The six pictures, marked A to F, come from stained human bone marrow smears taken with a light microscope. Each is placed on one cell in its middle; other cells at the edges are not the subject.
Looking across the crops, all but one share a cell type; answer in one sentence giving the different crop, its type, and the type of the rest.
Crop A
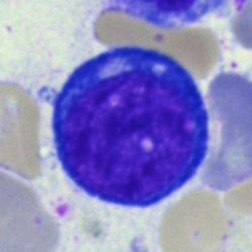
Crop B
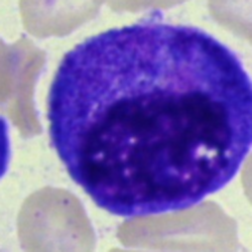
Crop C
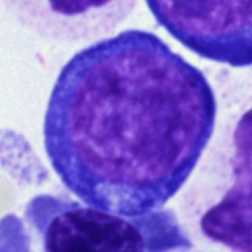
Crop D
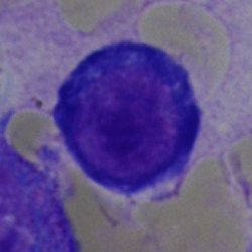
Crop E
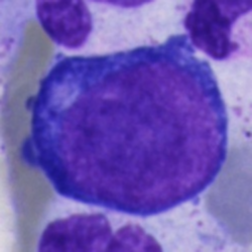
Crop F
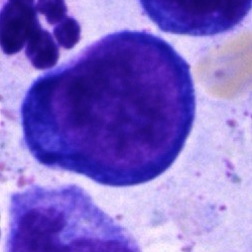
Among the crops, crop B is unique in showing a promyelocyte; the others show proerythroblasts.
